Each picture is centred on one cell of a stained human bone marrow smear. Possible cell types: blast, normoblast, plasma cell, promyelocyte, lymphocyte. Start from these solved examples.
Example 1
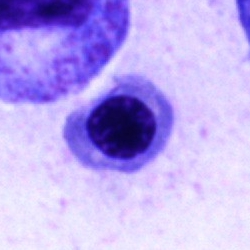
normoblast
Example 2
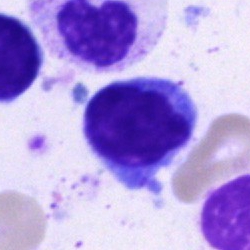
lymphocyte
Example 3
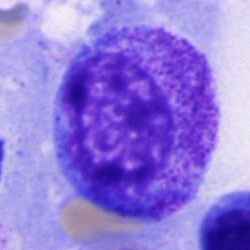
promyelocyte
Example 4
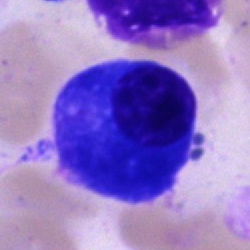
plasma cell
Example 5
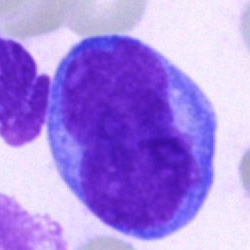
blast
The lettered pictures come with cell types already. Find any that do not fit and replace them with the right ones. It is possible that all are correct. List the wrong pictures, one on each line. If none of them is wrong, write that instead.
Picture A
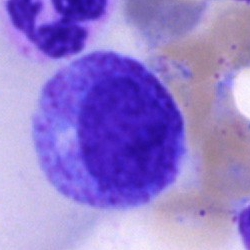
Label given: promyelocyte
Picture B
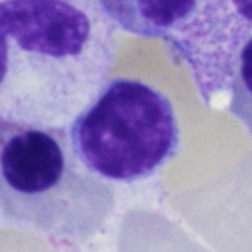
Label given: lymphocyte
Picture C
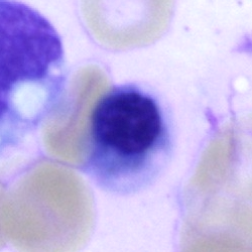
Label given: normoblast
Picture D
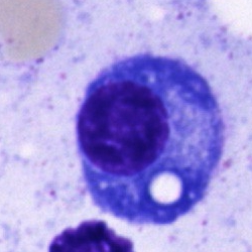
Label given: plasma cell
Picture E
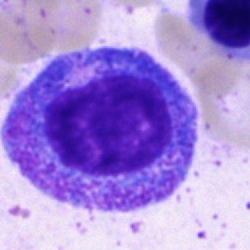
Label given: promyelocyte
Nothing to fix; every label fits.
